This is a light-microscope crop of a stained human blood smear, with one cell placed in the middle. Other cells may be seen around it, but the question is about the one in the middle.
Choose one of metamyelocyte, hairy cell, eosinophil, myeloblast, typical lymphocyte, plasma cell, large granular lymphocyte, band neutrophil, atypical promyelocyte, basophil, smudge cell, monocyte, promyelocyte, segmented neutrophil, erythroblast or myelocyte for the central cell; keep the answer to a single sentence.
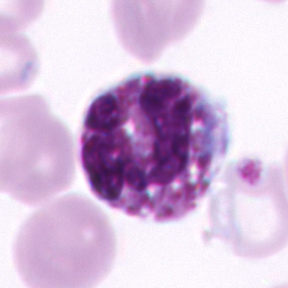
The cell in the middle of this crop is an eosinophil.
